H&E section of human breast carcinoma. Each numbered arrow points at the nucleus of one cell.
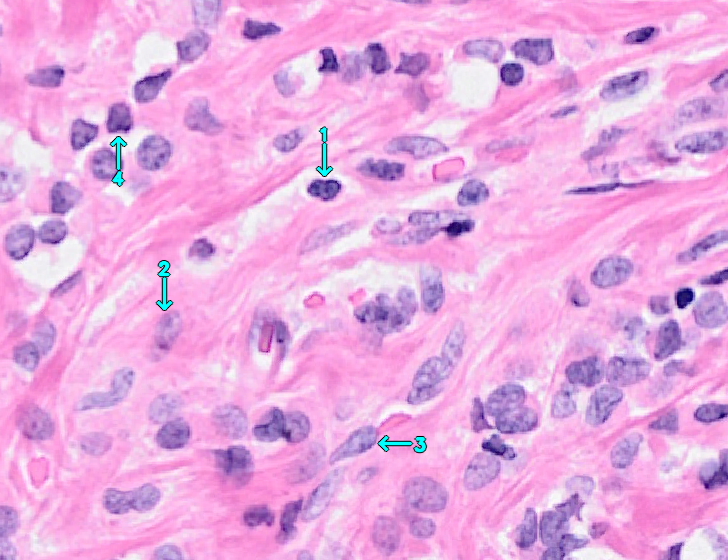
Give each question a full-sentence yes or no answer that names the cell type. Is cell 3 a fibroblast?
No, the nucleus numbered 3 belongs to an endothelial cell, not a fibroblast.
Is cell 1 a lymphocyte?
Yes, the cell that the number 1 labels is a lymphocyte.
